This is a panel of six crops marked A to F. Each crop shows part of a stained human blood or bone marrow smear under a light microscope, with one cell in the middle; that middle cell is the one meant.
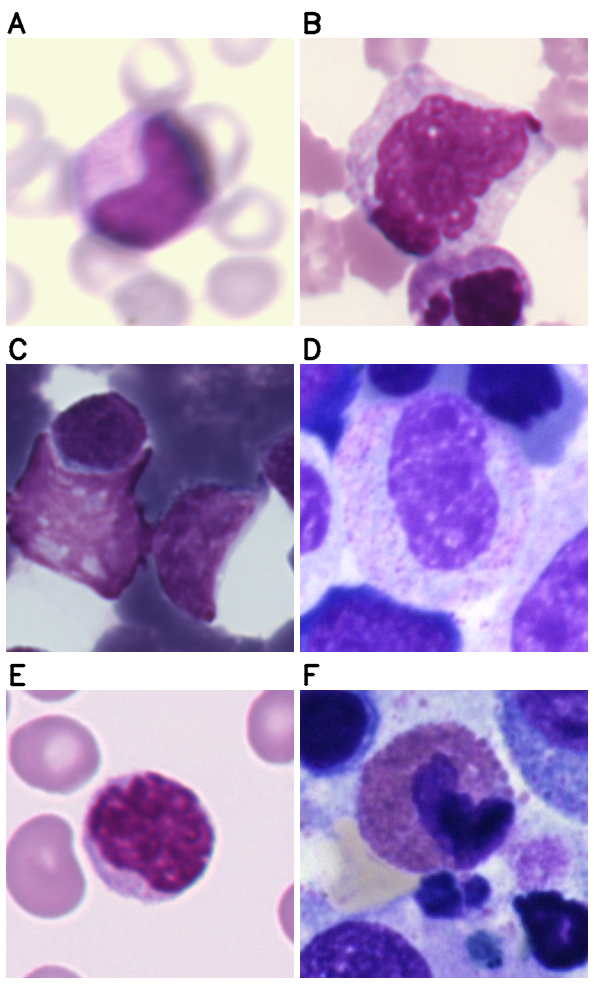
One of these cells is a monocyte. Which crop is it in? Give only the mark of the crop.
B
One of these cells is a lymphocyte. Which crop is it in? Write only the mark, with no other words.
E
